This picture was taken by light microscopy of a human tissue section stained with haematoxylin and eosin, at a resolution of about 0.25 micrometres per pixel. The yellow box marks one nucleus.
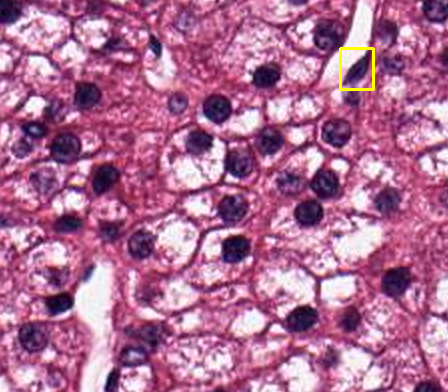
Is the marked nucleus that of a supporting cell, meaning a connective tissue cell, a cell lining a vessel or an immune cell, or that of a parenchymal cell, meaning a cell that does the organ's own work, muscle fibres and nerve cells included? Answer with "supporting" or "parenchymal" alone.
supporting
